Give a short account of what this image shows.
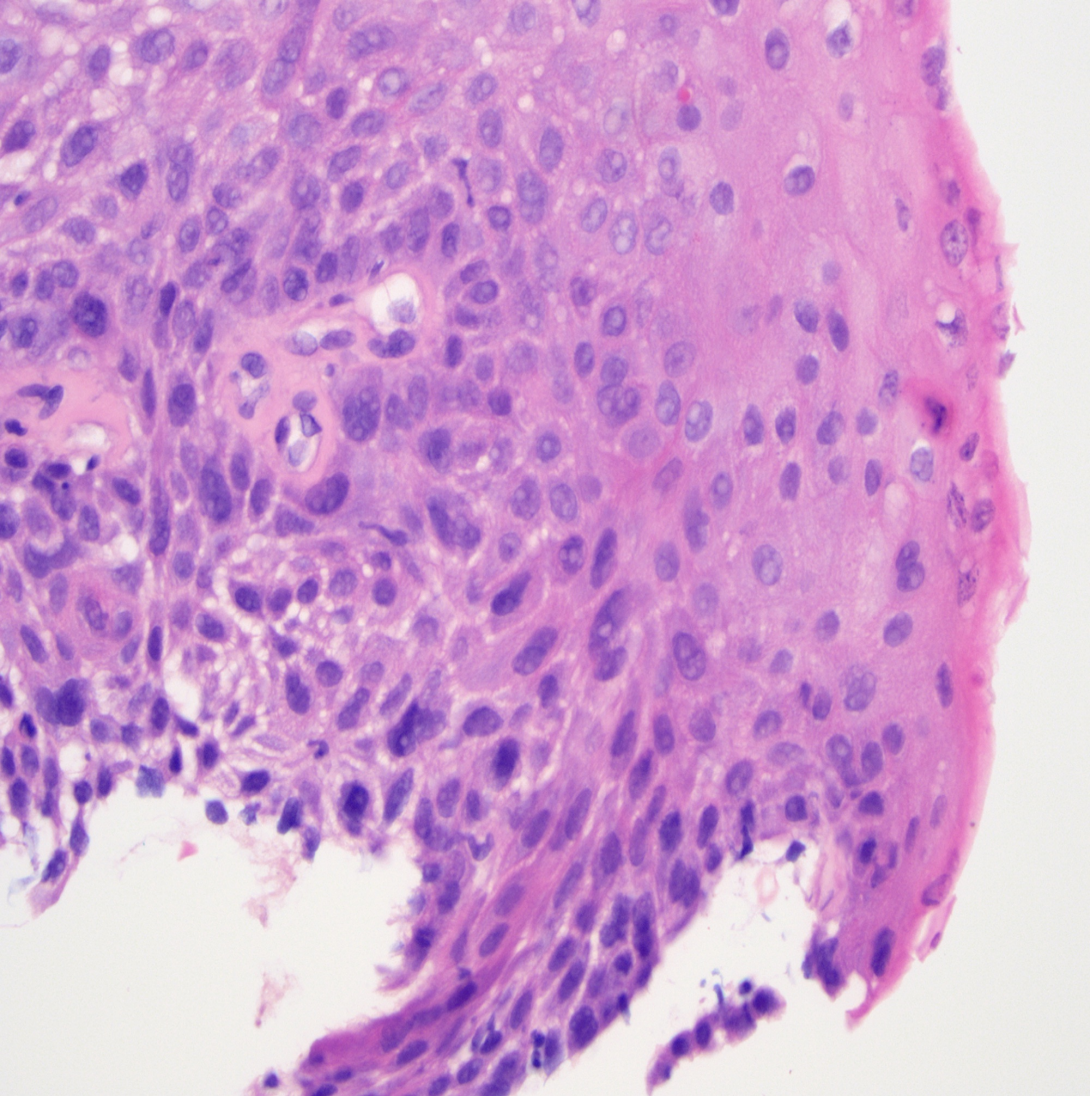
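This is squamous epithelium made of atypical keratinocytes with enlarged, crowded, oval-to-irregular purple nuclei, many with vesicular chromatin and visible nucleoli. On the left, the cells are packed tightly and have scant cytoplasm. Toward the right-hand surface, the cells have abundant pink cytoplasm and more widely spaced nuclei, beneath a thin, dense pink surface layer.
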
